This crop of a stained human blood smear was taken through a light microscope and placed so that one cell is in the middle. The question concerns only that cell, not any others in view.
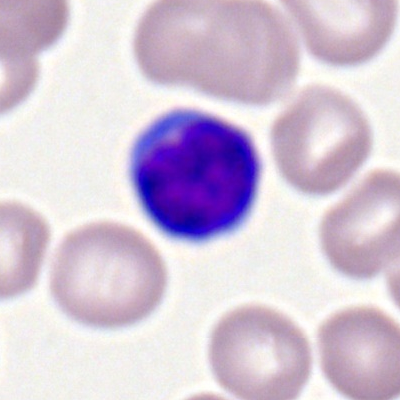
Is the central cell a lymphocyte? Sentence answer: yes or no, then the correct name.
Yes, the cell sitting in the center is a lymphocyte.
